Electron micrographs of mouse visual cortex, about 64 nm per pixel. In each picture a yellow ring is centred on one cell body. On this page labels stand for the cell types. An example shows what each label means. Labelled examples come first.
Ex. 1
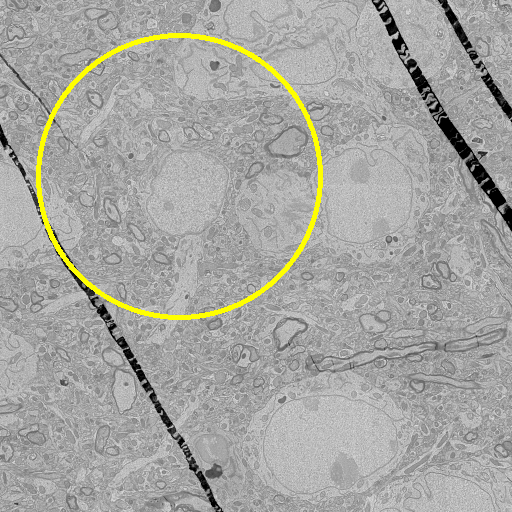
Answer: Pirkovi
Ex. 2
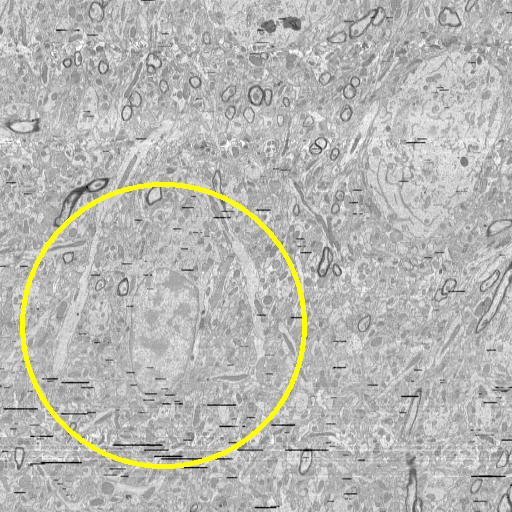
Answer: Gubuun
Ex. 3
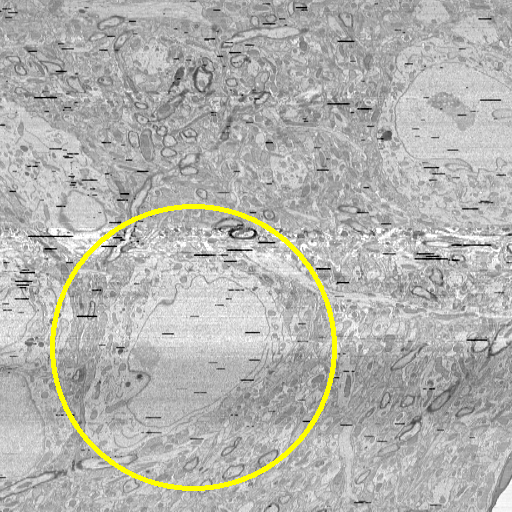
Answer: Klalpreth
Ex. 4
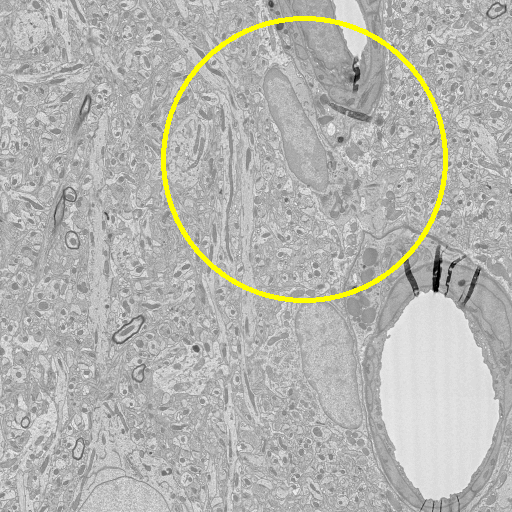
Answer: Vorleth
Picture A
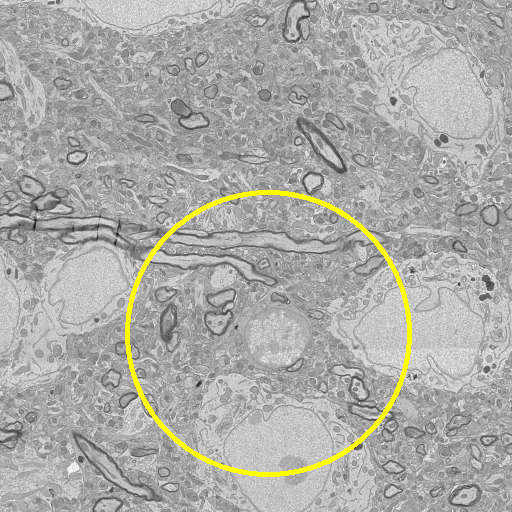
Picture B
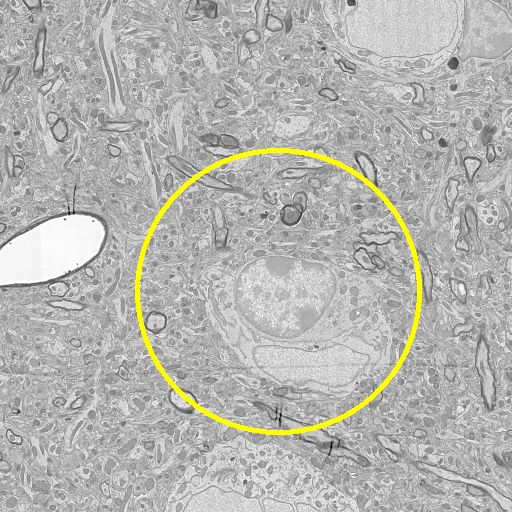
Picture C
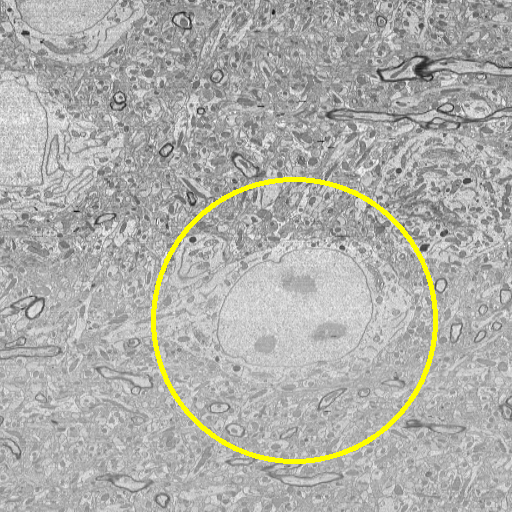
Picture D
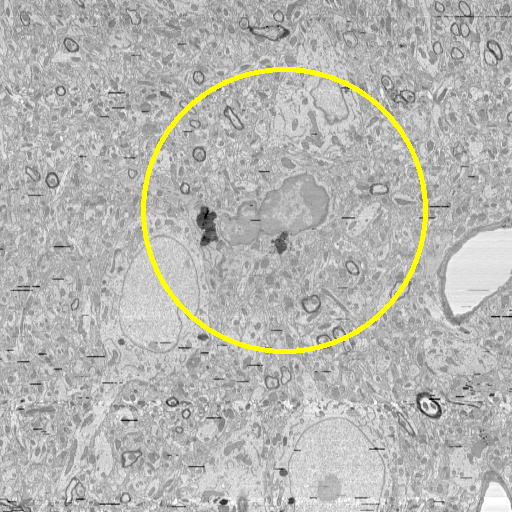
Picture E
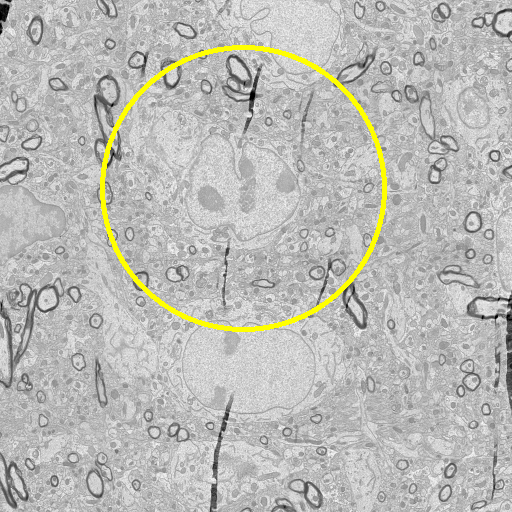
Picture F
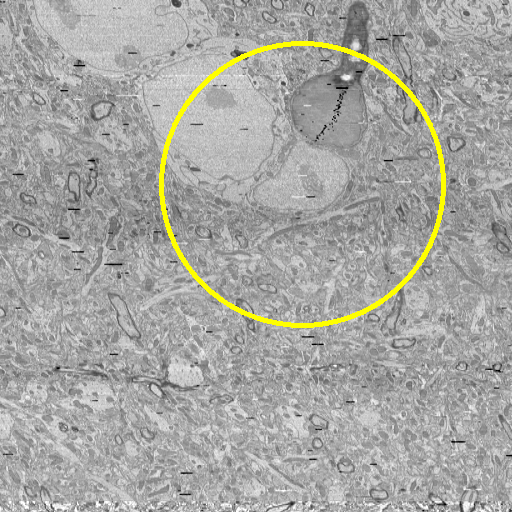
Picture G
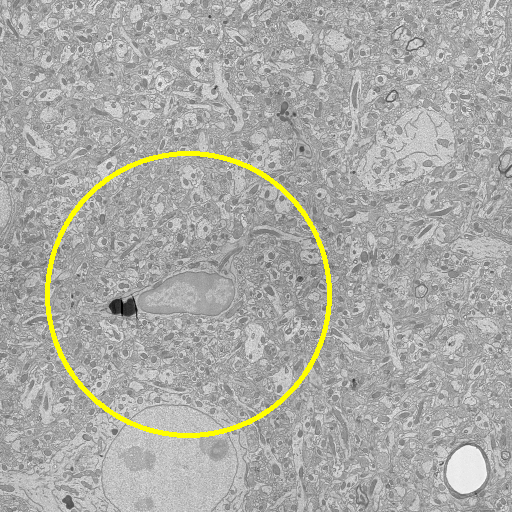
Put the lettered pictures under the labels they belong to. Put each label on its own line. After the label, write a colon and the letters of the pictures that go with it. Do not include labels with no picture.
Pirkovi: E, F
Gubuun: A, B
Klalpreth: C
Vorleth: D, G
